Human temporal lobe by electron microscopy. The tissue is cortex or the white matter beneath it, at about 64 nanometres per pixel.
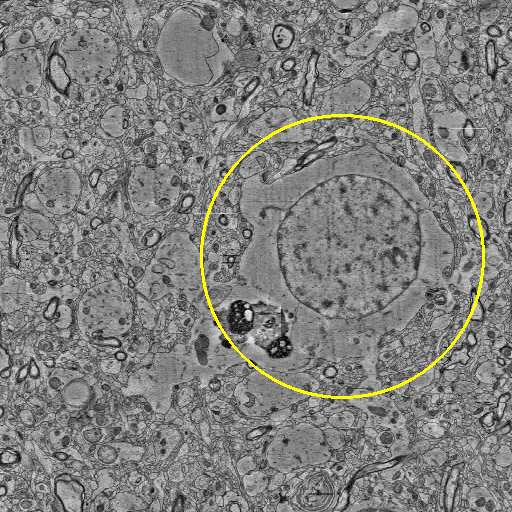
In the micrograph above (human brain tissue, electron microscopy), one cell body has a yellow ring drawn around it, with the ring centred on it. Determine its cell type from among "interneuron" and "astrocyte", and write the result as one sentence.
The cell whose body is ringed is an astrocyte.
